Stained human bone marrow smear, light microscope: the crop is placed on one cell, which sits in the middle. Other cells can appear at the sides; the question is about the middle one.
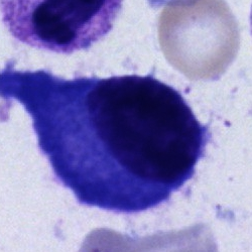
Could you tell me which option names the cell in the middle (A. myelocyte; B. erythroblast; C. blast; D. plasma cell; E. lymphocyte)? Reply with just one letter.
D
